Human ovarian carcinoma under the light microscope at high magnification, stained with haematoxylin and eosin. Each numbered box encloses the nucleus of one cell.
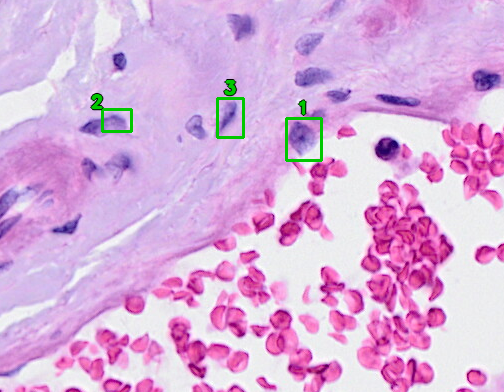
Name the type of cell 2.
fibroblast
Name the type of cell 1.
endothelial cell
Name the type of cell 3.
fibroblast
